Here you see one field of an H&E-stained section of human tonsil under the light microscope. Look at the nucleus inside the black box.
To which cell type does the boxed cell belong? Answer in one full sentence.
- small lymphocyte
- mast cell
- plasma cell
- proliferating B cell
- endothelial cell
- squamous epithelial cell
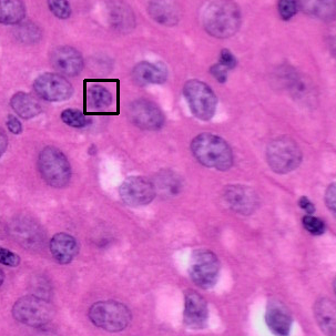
It is as a squamous epithelial cell that the boxed cell is recorded.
